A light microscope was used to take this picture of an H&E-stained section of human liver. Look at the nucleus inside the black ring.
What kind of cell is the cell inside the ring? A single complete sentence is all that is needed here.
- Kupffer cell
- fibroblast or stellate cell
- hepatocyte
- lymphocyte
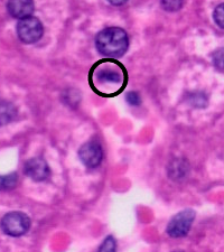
Assigned to a cell type, the cell inside the ring is a fibroblast or stellate cell.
